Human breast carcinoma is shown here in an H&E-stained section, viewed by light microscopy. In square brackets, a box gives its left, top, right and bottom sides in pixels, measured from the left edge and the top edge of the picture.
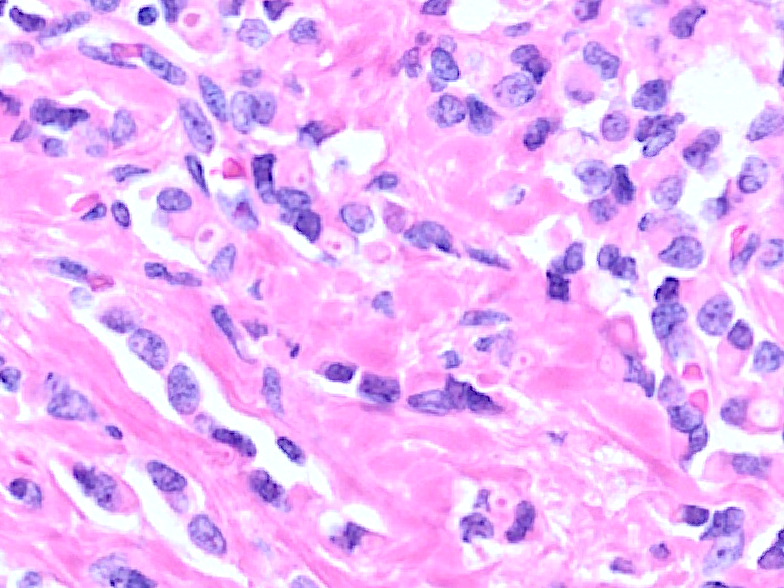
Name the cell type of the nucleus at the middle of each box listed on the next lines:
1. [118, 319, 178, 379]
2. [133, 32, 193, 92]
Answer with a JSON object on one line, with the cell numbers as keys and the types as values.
{"1": "carcinoma cell", "2": "endothelial cell"}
